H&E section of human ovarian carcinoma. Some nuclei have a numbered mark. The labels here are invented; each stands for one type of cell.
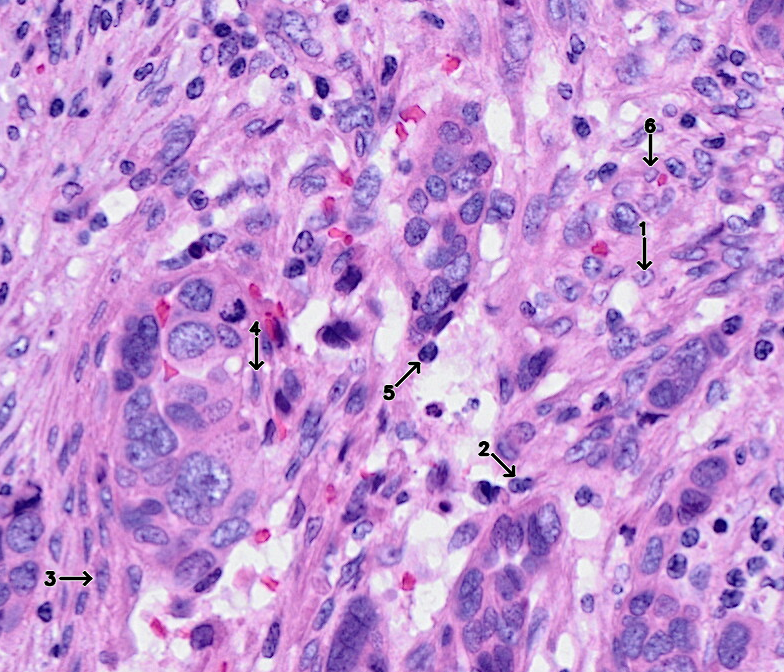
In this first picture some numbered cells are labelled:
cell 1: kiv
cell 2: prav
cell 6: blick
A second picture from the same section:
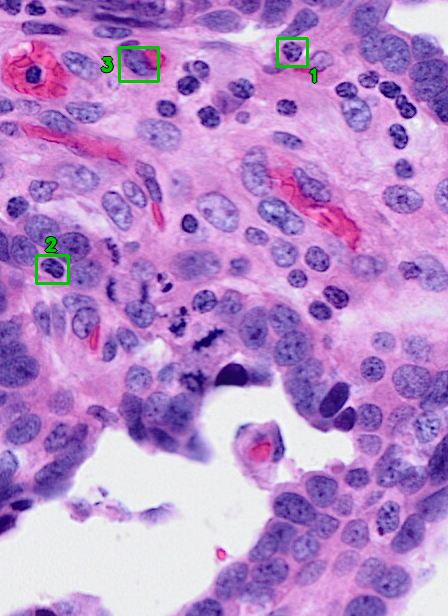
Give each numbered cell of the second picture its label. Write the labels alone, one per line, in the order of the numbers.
prav
prav
blick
